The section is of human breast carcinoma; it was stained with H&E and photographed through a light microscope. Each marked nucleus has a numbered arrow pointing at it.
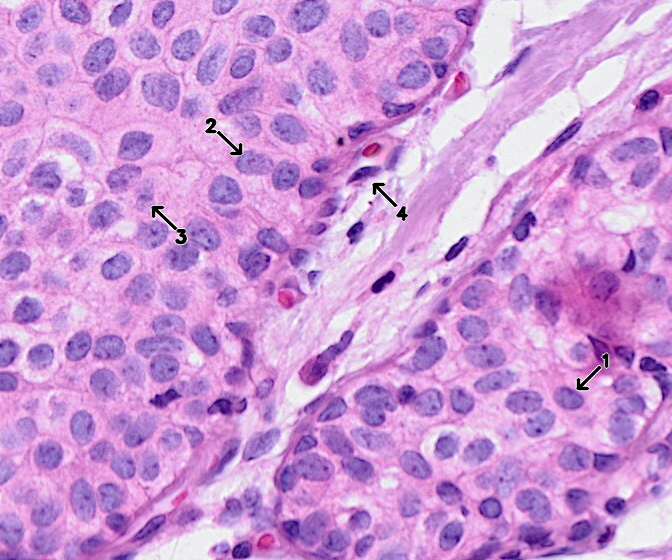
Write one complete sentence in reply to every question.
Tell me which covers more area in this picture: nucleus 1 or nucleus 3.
Nucleus 1 is the larger one, covering about 1.5 times the area of nucleus 3.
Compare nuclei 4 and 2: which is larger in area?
At about 2 times the area of nucleus 4, nucleus 2 is the larger of the two.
